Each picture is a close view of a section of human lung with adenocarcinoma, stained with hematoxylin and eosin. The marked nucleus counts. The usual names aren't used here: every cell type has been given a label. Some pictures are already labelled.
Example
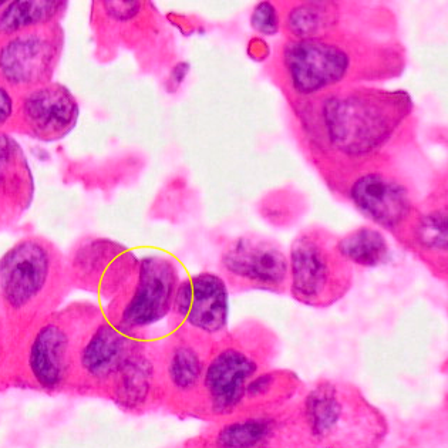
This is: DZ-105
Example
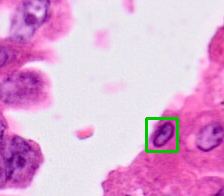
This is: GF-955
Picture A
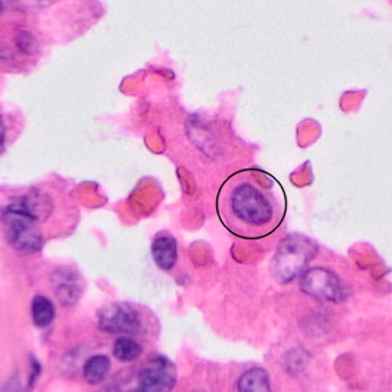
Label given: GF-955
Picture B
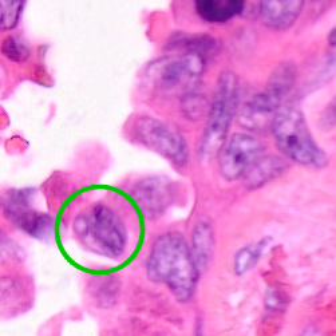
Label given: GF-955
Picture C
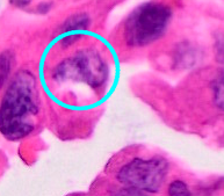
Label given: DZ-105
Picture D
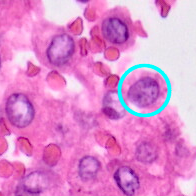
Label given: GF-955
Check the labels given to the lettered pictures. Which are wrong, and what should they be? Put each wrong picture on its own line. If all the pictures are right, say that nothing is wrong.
B: not GF-955 but DZ-105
